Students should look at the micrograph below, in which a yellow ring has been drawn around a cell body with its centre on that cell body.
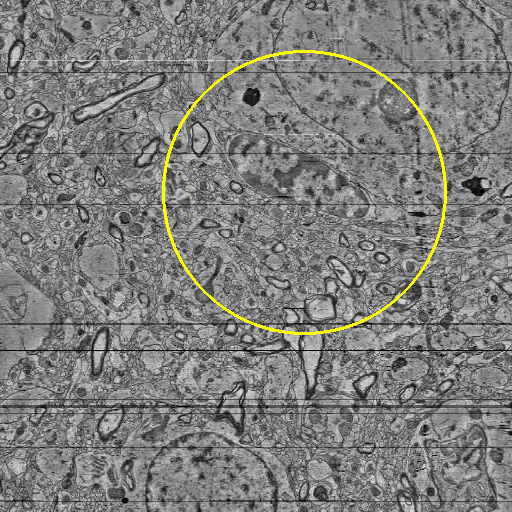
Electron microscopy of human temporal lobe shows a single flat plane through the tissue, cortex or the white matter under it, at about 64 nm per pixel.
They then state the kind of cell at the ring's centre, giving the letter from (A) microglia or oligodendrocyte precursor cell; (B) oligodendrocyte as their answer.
A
